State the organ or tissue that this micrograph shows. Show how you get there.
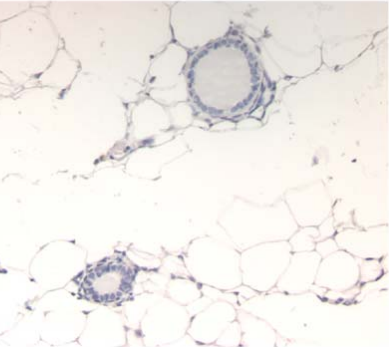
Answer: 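Mammary gland. Large empty fat cells fill most of the field. Two small ducts with a thin epithelial lining lie within the fat.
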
